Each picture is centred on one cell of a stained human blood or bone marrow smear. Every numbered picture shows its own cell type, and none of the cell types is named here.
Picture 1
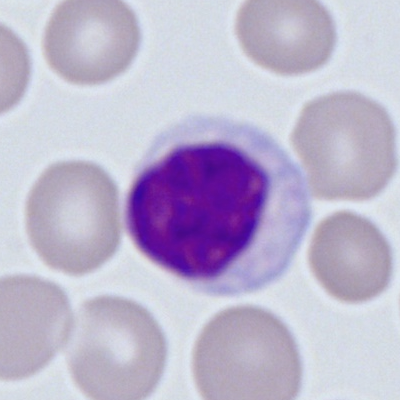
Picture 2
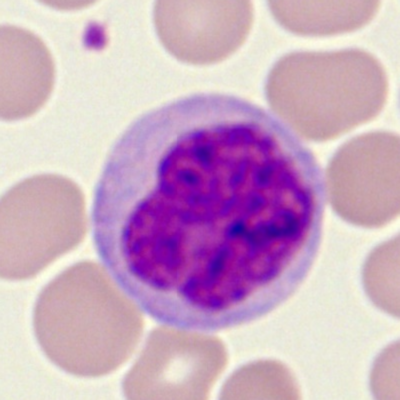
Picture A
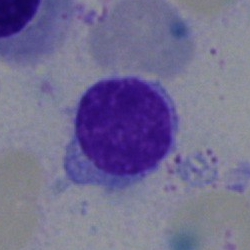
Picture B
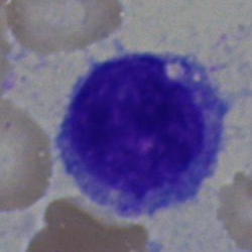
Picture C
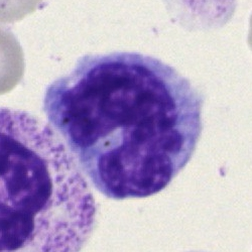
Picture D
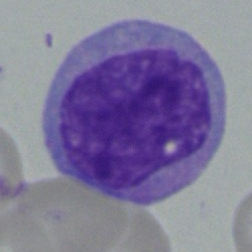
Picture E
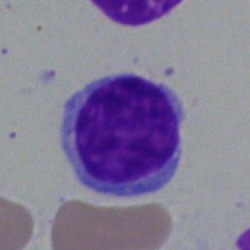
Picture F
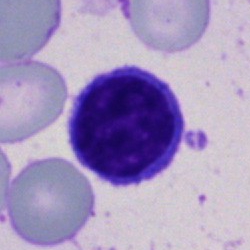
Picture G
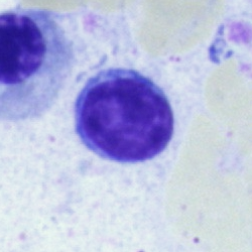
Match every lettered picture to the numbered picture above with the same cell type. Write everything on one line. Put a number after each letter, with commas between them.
A 1, B 2, C 2, D 2, E 1, F 1, G 1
